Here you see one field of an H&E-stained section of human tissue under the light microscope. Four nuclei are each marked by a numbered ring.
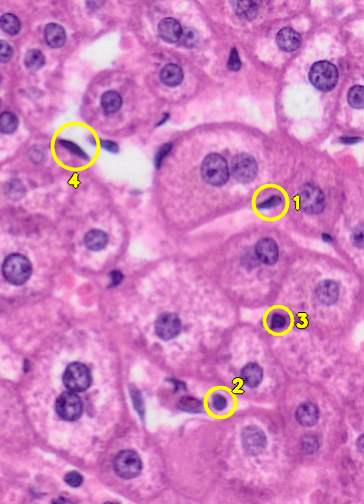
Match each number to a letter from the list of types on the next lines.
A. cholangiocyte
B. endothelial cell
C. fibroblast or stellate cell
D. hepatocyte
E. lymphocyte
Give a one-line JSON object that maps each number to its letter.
{"1": "B", "2": "E", "3": "C", "4": "B"}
